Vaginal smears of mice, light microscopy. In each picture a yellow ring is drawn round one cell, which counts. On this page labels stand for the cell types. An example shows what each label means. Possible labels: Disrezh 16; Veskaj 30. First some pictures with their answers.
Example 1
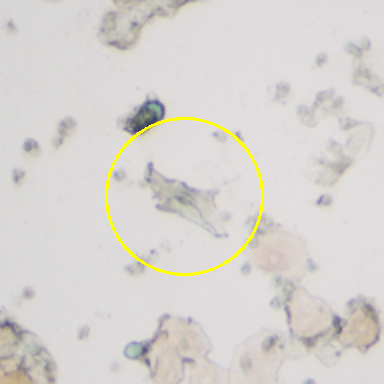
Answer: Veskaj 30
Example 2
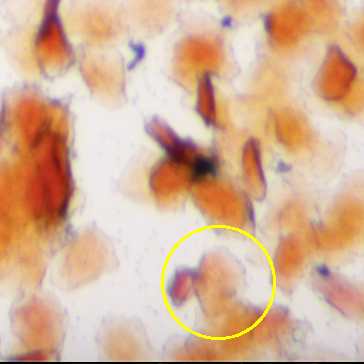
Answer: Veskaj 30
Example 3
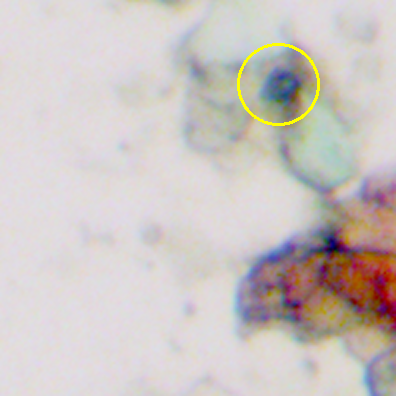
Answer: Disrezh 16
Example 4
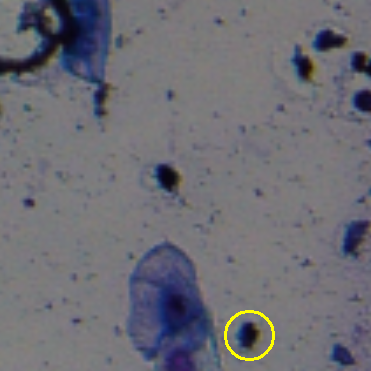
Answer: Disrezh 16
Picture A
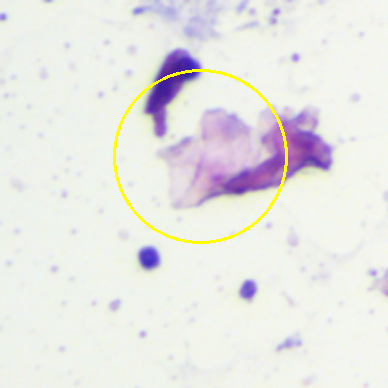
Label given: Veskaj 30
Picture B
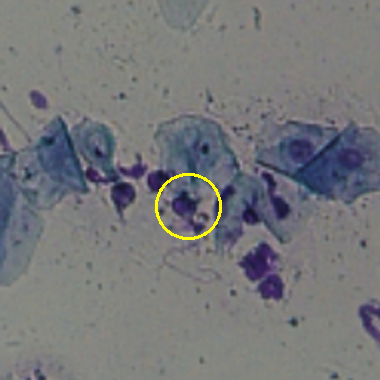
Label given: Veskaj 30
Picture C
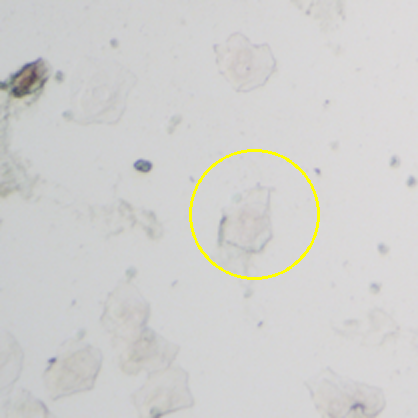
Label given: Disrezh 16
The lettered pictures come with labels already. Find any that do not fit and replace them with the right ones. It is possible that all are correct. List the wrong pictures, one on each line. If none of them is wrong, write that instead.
B: change Veskaj 30 to Disrezh 16
C: change Disrezh 16 to Veskaj 30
